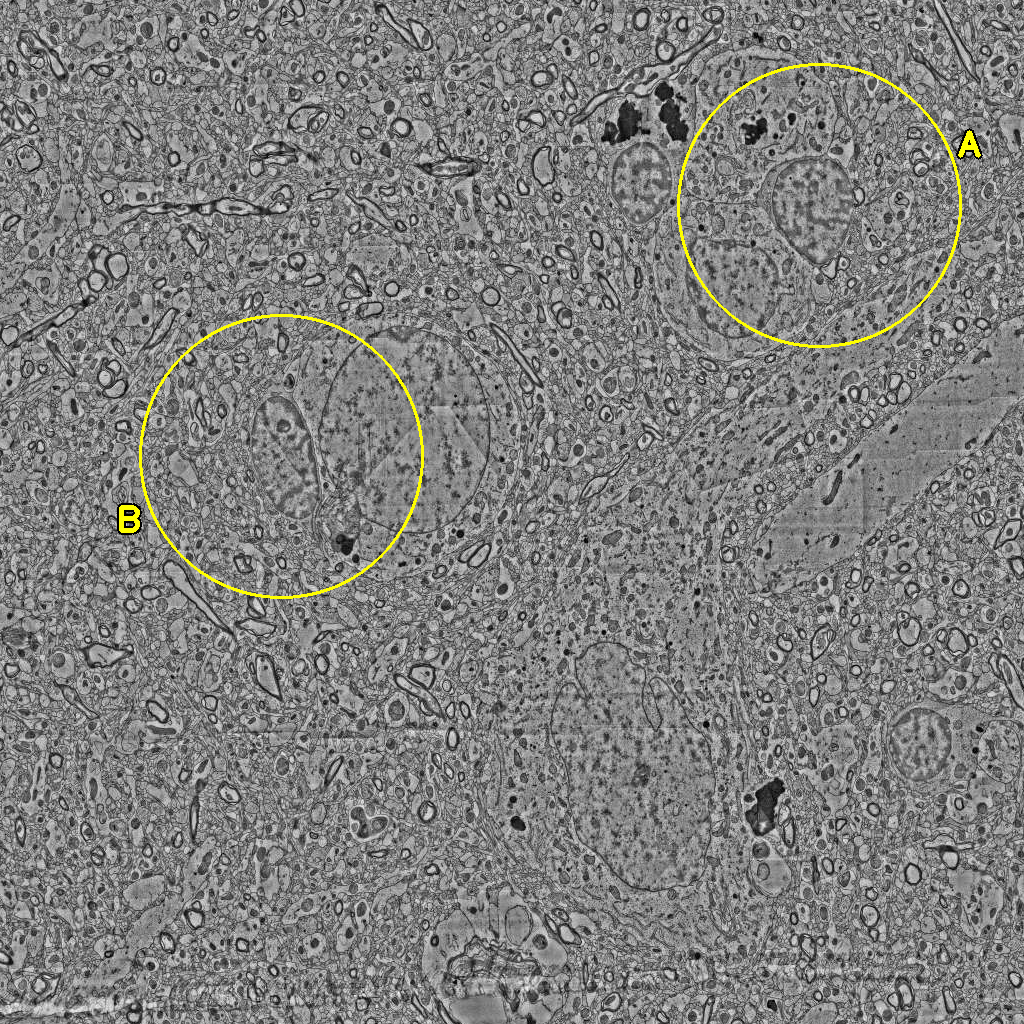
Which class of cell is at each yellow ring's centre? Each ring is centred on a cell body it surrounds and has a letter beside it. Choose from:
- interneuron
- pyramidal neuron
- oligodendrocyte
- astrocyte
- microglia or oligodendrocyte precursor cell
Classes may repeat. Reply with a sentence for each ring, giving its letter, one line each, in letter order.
The ring lettered A is centred on an oligodendrocyte.
The ring lettered B is centred on an oligodendrocyte.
